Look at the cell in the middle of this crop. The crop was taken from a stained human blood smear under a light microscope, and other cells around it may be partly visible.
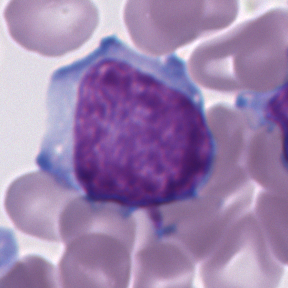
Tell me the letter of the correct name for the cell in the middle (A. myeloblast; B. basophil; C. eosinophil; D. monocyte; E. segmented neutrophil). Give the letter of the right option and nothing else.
A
